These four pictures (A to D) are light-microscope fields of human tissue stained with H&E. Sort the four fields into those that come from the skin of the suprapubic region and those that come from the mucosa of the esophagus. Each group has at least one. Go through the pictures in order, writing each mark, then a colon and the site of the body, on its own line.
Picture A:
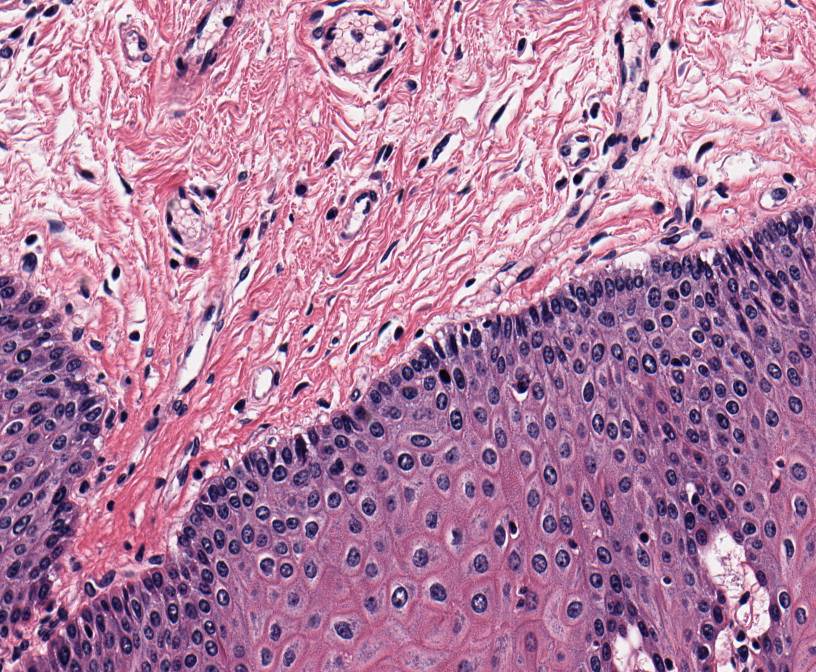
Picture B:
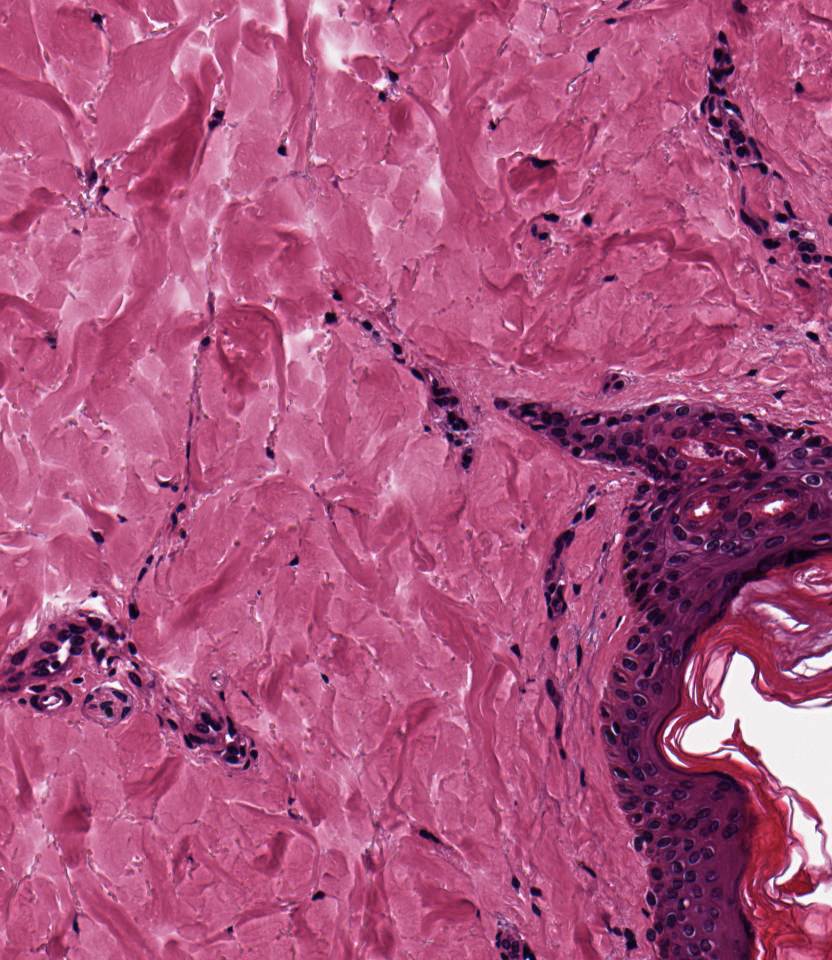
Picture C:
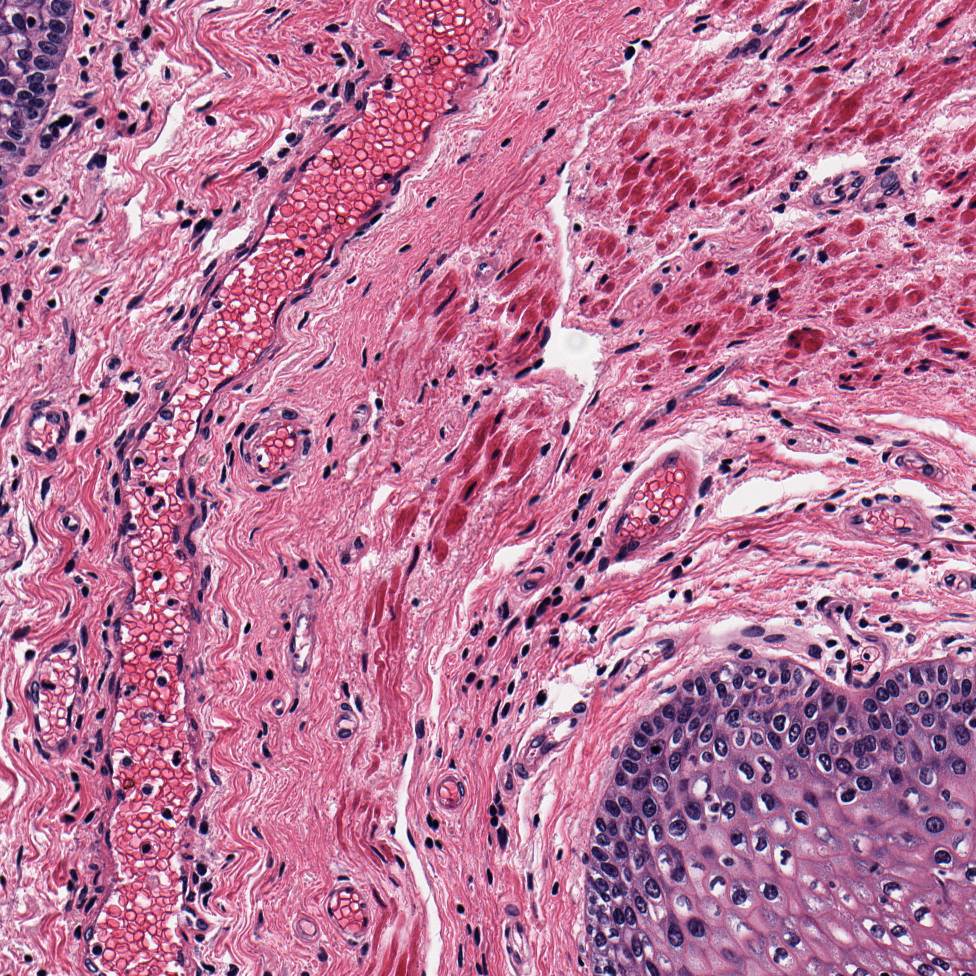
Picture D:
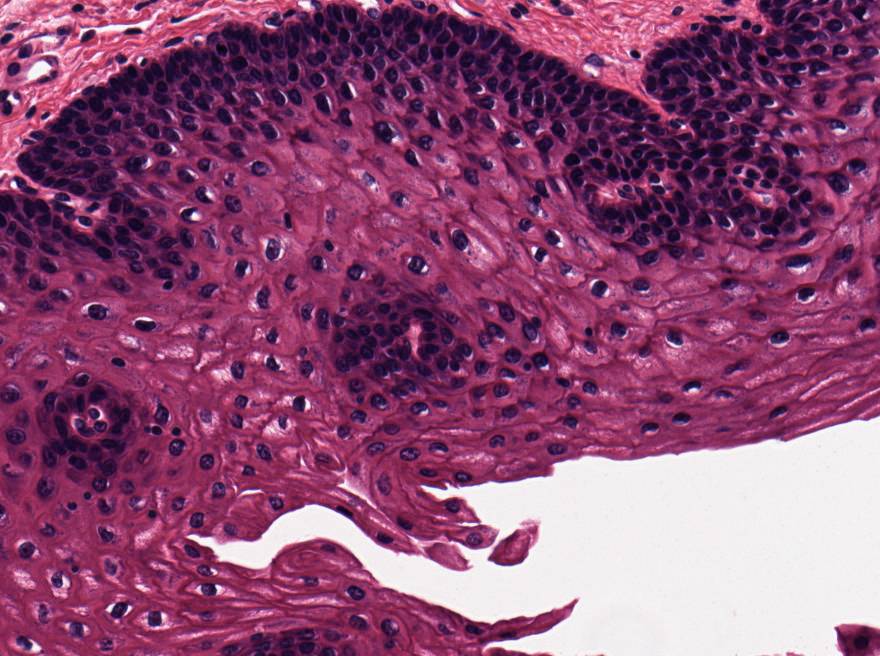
A: mucosa of the esophagus
B: skin of the suprapubic region
C: mucosa of the esophagus
D: mucosa of the esophagus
